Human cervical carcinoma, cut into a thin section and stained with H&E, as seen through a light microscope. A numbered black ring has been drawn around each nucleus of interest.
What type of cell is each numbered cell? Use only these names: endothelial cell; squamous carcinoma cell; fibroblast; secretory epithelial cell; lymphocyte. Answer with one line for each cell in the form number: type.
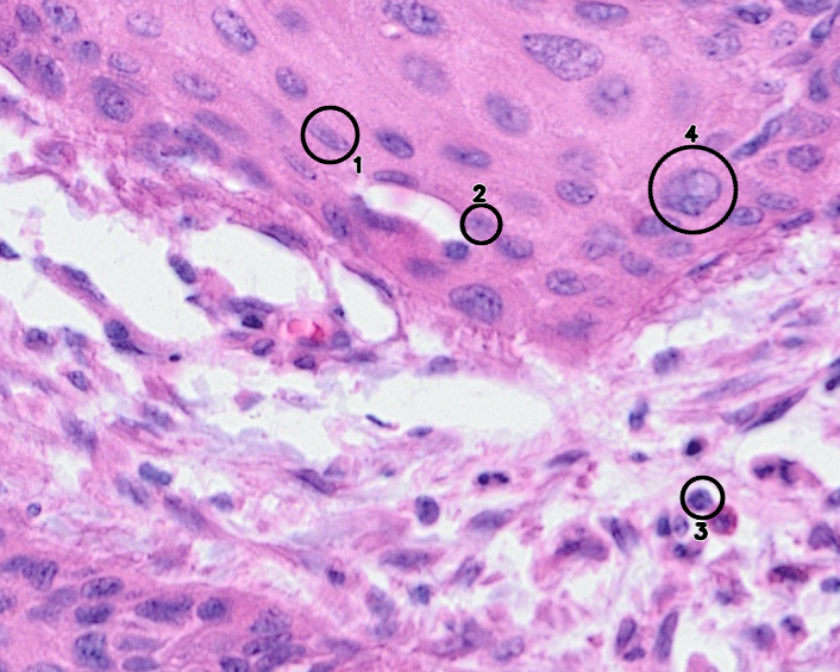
1: squamous carcinoma cell
2: squamous carcinoma cell
3: lymphocyte
4: squamous carcinoma cell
